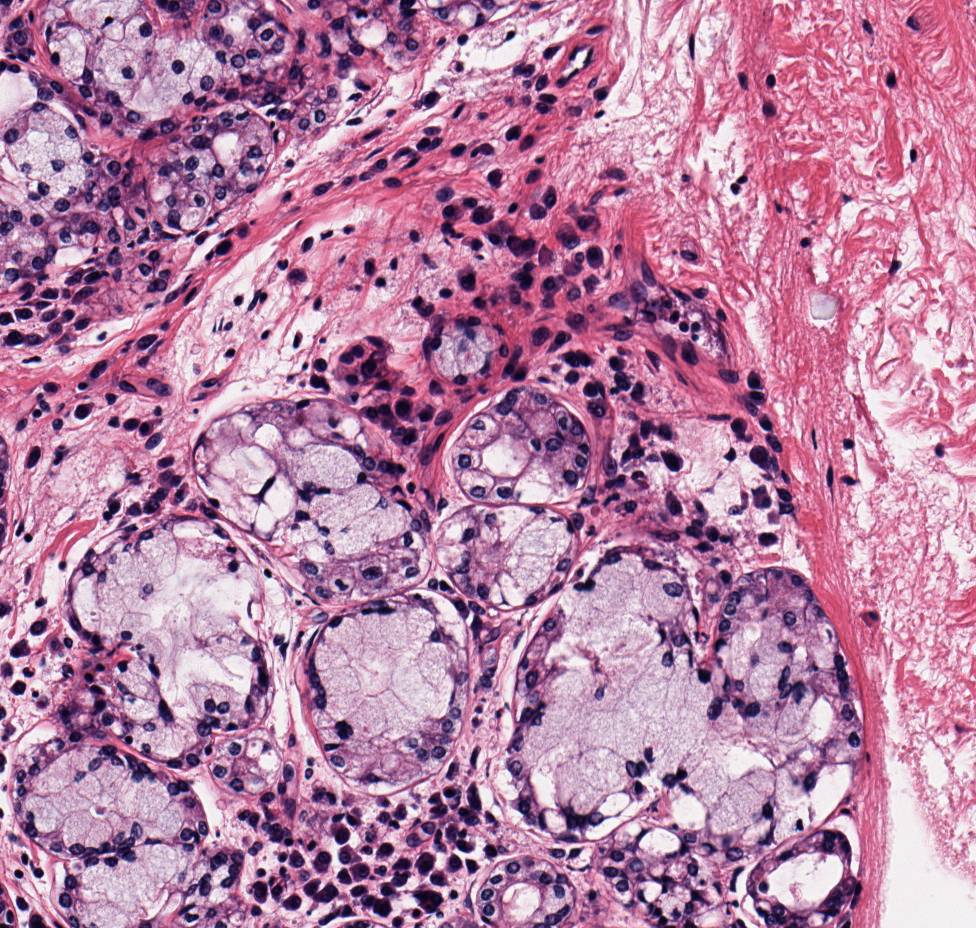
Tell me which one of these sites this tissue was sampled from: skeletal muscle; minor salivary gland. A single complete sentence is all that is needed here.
This slide holds tissue sampled from the minor salivary gland.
